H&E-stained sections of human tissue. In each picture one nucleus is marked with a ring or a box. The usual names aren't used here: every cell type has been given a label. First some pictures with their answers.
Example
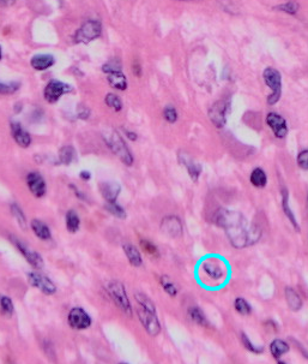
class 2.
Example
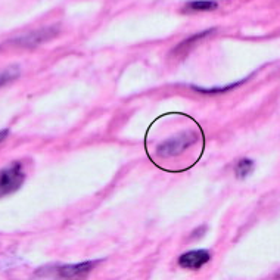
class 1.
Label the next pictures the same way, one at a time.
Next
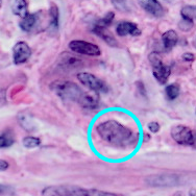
class 1.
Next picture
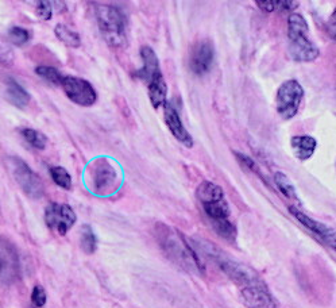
class 1.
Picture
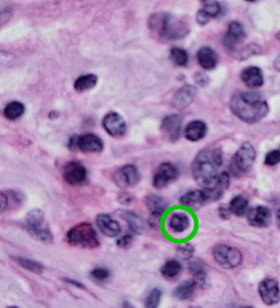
class 2.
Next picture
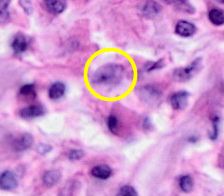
class 1.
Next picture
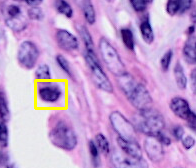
class 2.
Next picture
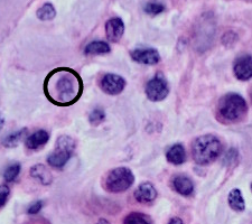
class 1.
